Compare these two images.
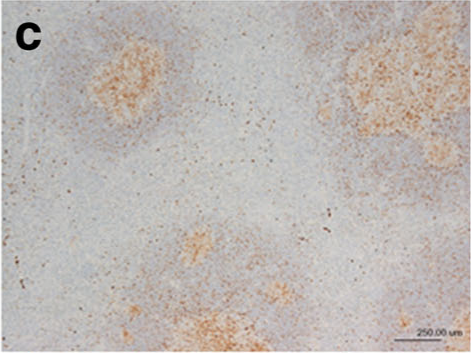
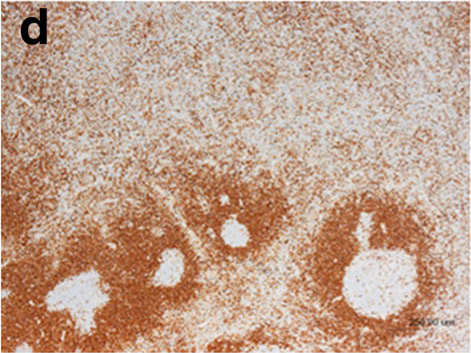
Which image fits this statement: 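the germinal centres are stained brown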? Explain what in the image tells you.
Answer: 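The first image. Second image: round centres are unstained white, ringed by dense brown. First image: round centres hold brown stain, surroundings are pale.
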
